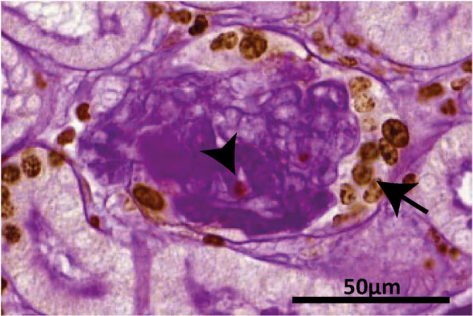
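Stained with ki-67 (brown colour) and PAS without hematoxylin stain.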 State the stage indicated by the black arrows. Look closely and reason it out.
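The arrow points to a cluster of brown-stained nuclei. The cluster lies at the rim of the glomerulus, outside the tuft, along the capsule. The answer: cell proliferation in the Bowman’s space.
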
